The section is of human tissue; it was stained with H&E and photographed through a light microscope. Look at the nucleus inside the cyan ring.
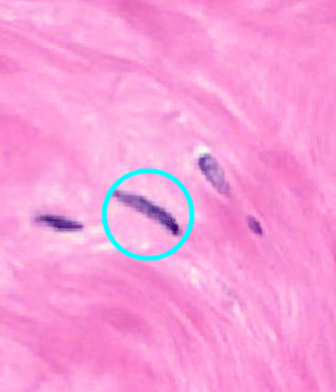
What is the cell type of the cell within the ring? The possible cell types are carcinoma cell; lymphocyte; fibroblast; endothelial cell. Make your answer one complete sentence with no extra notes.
In the stained section, the cell within the ring is a fibroblast.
